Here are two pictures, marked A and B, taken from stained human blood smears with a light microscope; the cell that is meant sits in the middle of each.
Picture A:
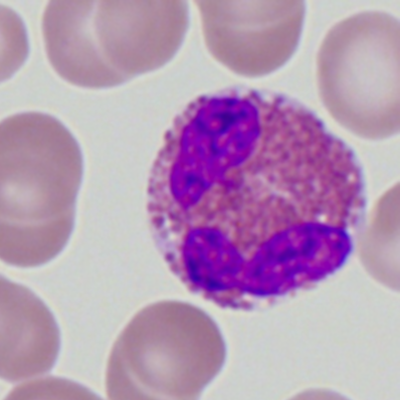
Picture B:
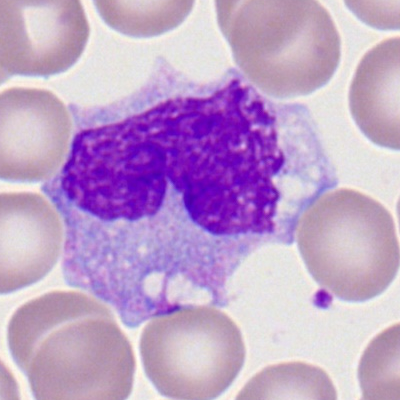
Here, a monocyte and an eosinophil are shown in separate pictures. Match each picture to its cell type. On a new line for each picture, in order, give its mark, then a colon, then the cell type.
A: eosinophil
B: monocyte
